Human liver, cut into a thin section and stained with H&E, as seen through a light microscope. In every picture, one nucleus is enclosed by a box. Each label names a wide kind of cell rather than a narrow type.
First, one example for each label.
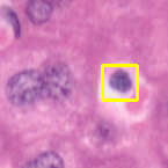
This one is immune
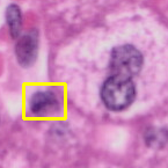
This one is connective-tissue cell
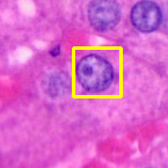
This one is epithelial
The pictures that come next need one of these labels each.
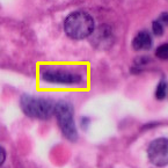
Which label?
connective-tissue cell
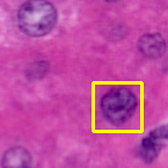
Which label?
epithelial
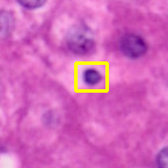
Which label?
immune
